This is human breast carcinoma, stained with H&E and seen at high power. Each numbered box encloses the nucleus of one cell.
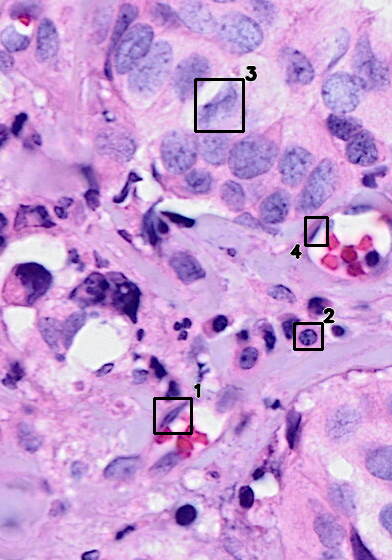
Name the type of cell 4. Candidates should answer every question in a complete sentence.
The marked cell bearing number 4 is an endothelial cell.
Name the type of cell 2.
The cell bearing label 2 corresponds to a mast cell.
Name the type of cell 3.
The cell referenced by the number 3 is a carcinoma cell in this field.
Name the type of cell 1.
Marked with the number 1, this cell is an endothelial cell.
